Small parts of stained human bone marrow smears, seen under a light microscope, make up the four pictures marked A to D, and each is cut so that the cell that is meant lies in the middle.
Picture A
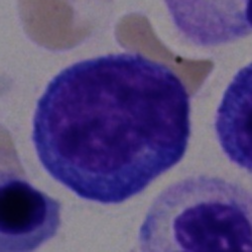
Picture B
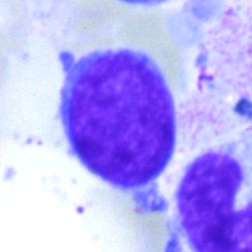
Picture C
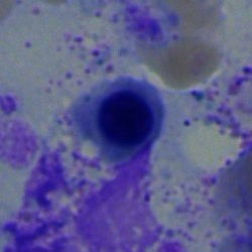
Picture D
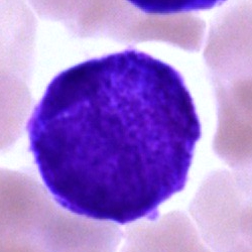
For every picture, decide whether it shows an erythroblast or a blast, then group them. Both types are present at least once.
A: blast
B: blast
C: erythroblast
D: blast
